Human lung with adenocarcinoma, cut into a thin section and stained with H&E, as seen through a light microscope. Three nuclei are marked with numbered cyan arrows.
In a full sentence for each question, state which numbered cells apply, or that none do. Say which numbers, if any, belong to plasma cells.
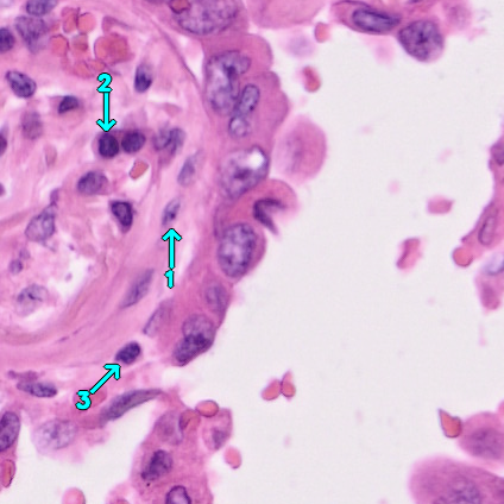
The sole numbered cell that is a plasma cell is cell 2.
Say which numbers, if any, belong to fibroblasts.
Of the cells bearing numbers, the only one that is a fibroblast is cell 1.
